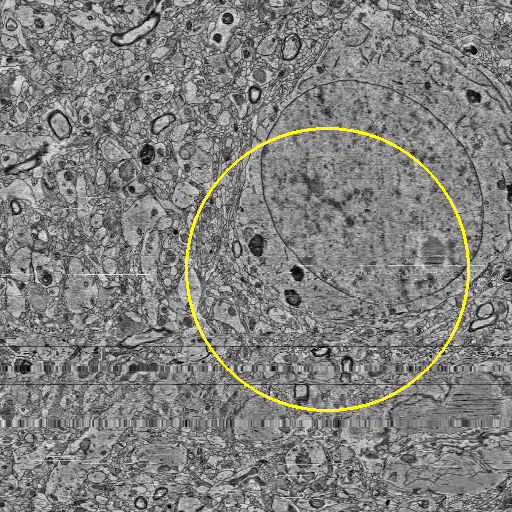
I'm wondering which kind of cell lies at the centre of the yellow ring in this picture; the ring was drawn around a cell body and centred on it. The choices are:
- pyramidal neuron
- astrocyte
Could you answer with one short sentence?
At the centre of the ring lies a pyramidal neuron.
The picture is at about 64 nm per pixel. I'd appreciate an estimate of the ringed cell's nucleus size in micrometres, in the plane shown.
In this plane, the nucleus is roughly 16 by 13 micrometres.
